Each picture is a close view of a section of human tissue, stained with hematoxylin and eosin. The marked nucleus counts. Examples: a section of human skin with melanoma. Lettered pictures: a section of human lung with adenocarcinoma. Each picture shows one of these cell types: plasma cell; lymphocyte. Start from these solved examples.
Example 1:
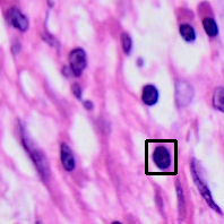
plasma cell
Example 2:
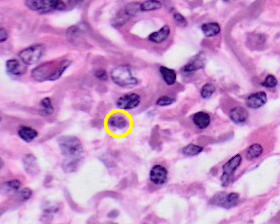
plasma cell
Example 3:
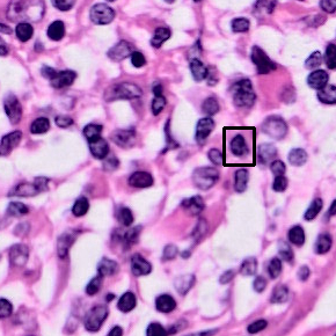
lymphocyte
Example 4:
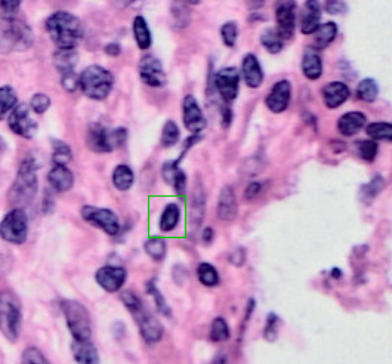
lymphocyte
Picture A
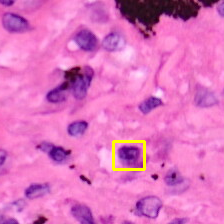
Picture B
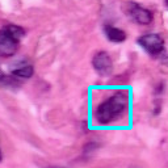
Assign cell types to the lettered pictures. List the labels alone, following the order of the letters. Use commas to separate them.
plasma cell, plasma cell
